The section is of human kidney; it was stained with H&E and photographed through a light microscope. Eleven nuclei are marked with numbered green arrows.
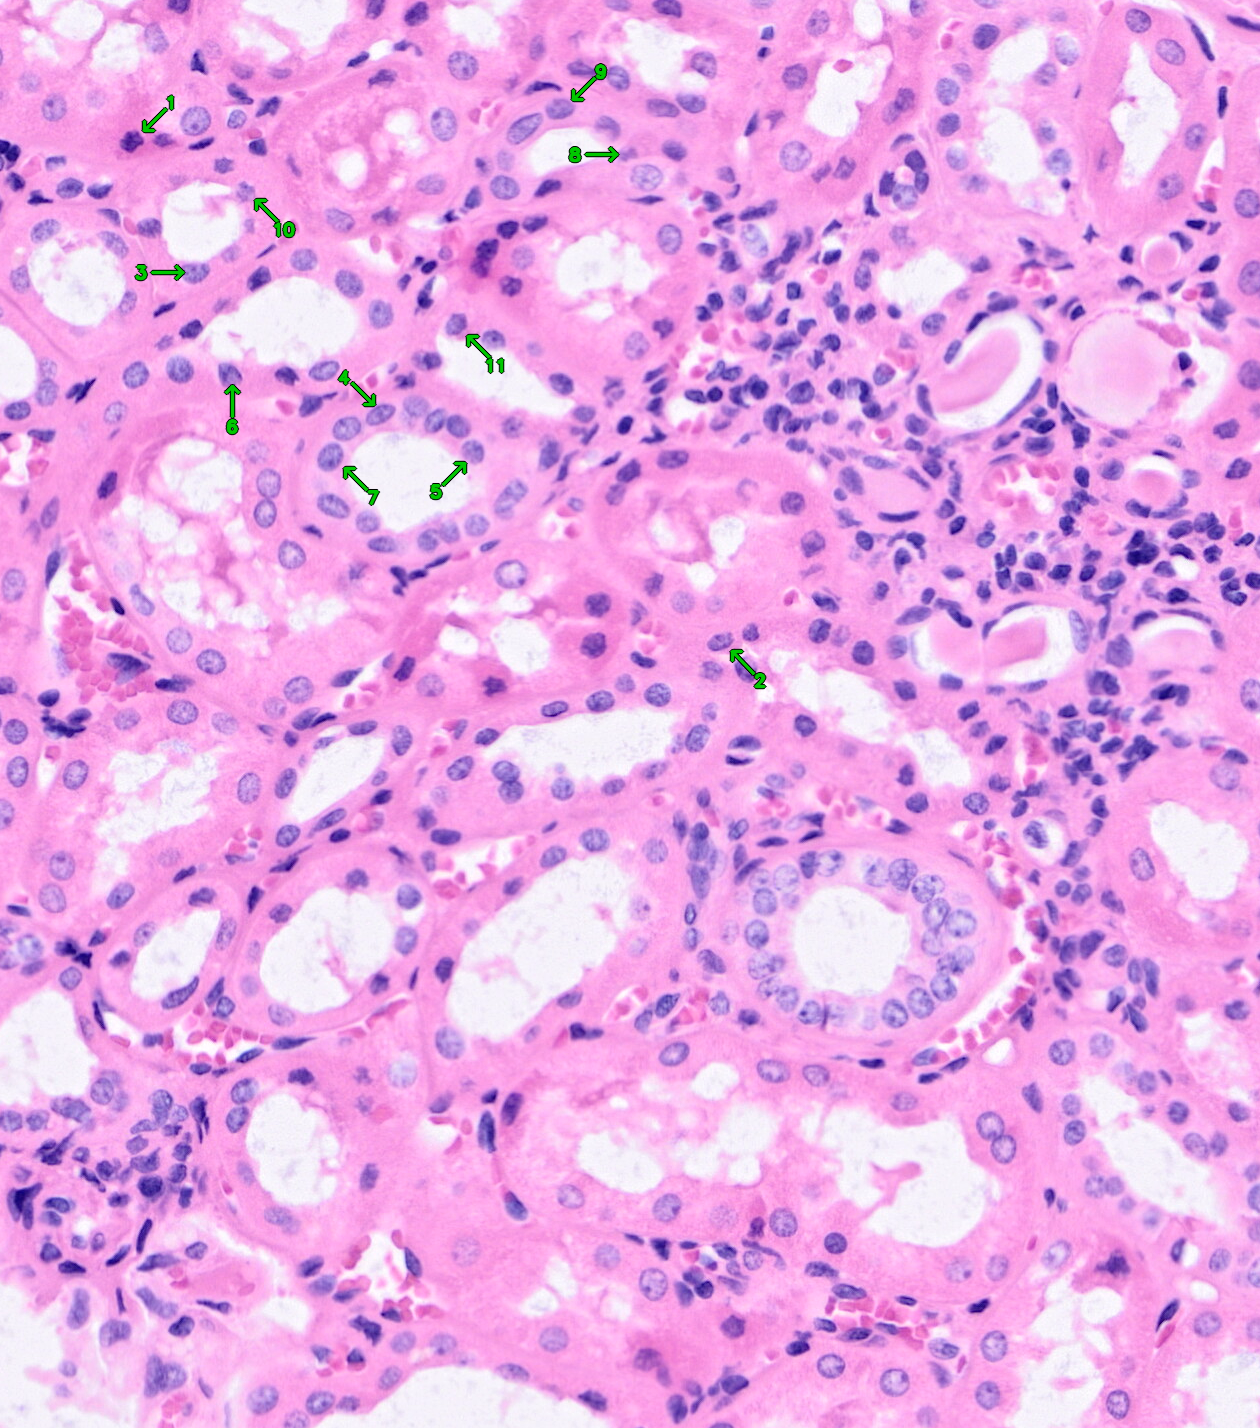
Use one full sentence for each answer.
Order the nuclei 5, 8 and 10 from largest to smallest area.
From largest to smallest, the order is 5, 10, 8.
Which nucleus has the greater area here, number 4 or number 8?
It is nucleus 4, which covers about 2 times the area of nucleus 8.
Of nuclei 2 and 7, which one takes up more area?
Nucleus 7 is larger, with an area about 1.5 times that of nucleus 2.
